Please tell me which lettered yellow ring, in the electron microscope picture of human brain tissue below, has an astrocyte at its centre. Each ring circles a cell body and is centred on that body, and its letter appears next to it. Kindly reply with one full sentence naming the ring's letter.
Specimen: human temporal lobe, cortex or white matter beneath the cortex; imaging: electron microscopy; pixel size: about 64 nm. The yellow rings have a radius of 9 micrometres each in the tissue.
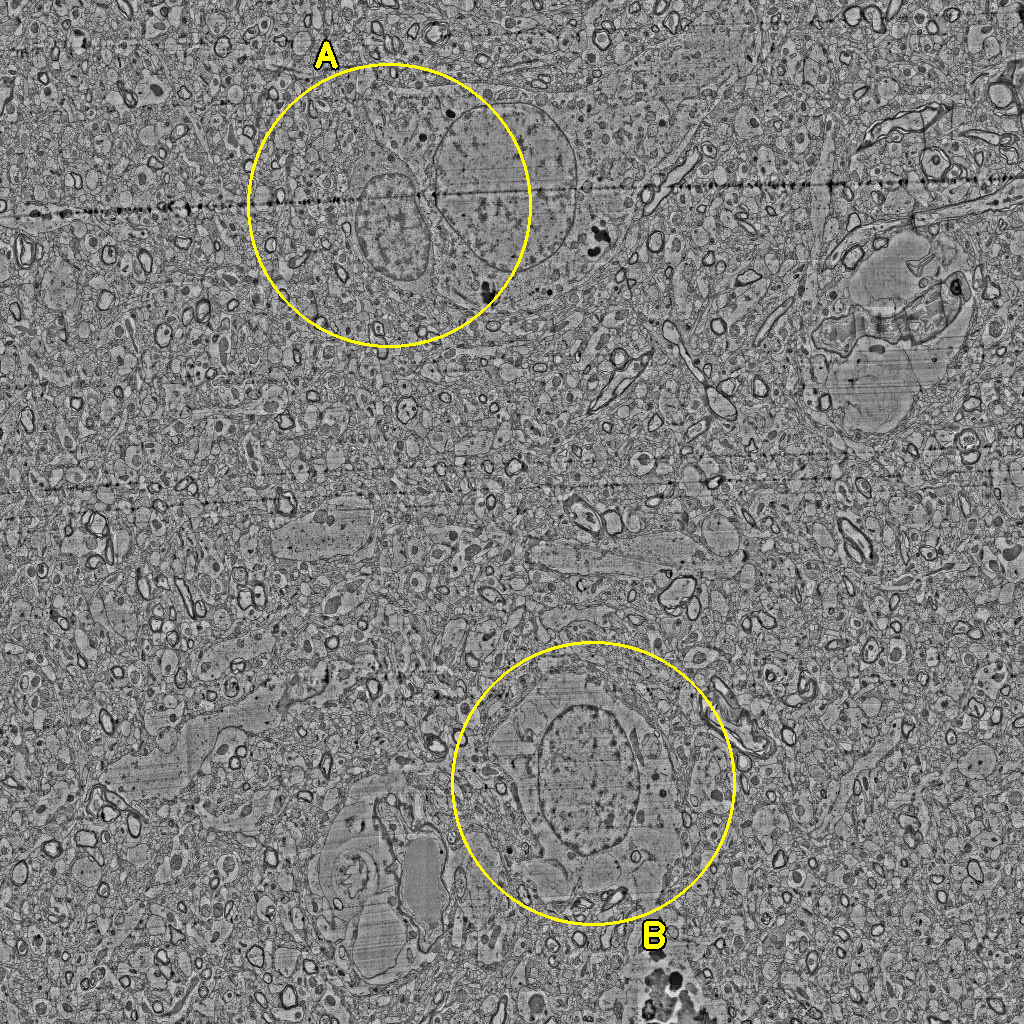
Ring B has the cell asked for at its centre.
